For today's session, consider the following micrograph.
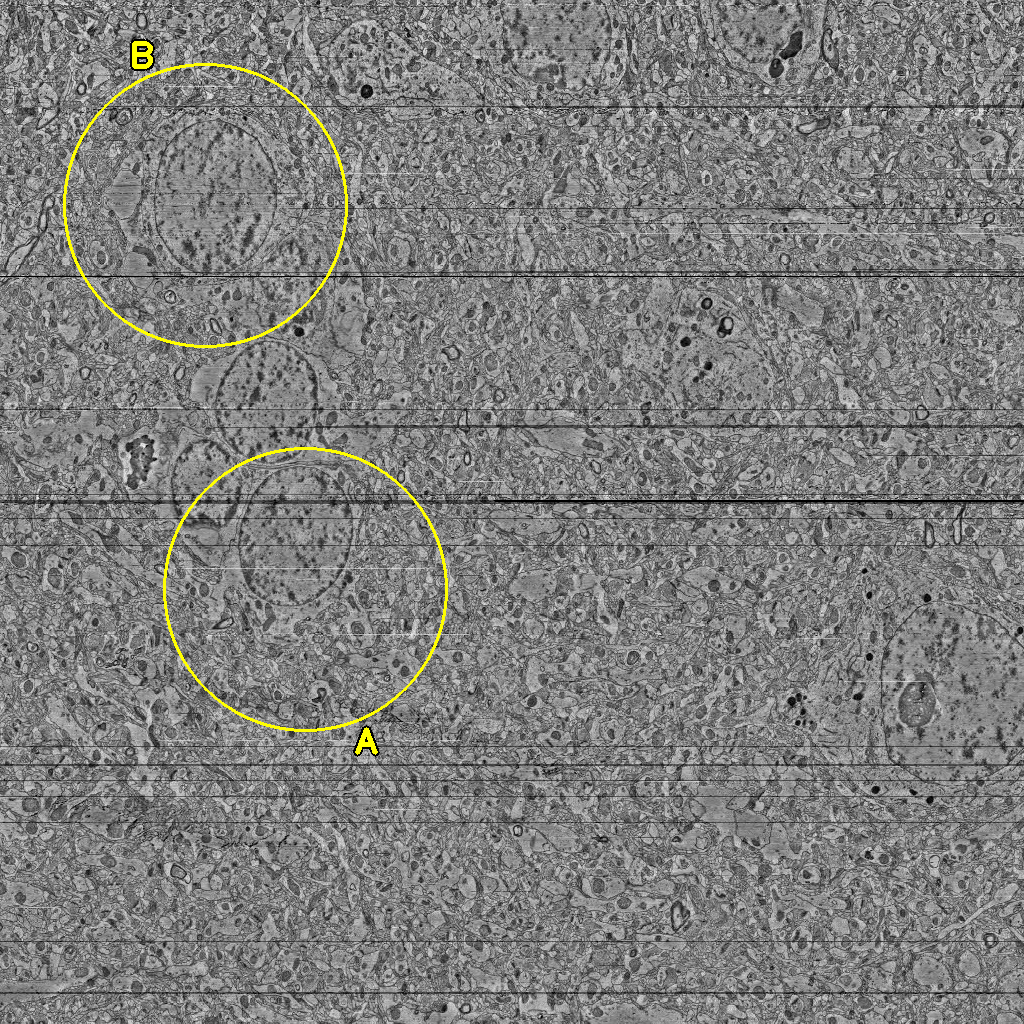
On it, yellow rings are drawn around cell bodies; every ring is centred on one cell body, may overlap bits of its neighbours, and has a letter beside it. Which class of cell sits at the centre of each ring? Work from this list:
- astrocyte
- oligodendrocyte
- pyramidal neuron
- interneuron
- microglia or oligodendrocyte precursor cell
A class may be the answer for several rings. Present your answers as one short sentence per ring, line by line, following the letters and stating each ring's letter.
Ring A centres on an astrocyte.
Ring B centres on a pyramidal neuron.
